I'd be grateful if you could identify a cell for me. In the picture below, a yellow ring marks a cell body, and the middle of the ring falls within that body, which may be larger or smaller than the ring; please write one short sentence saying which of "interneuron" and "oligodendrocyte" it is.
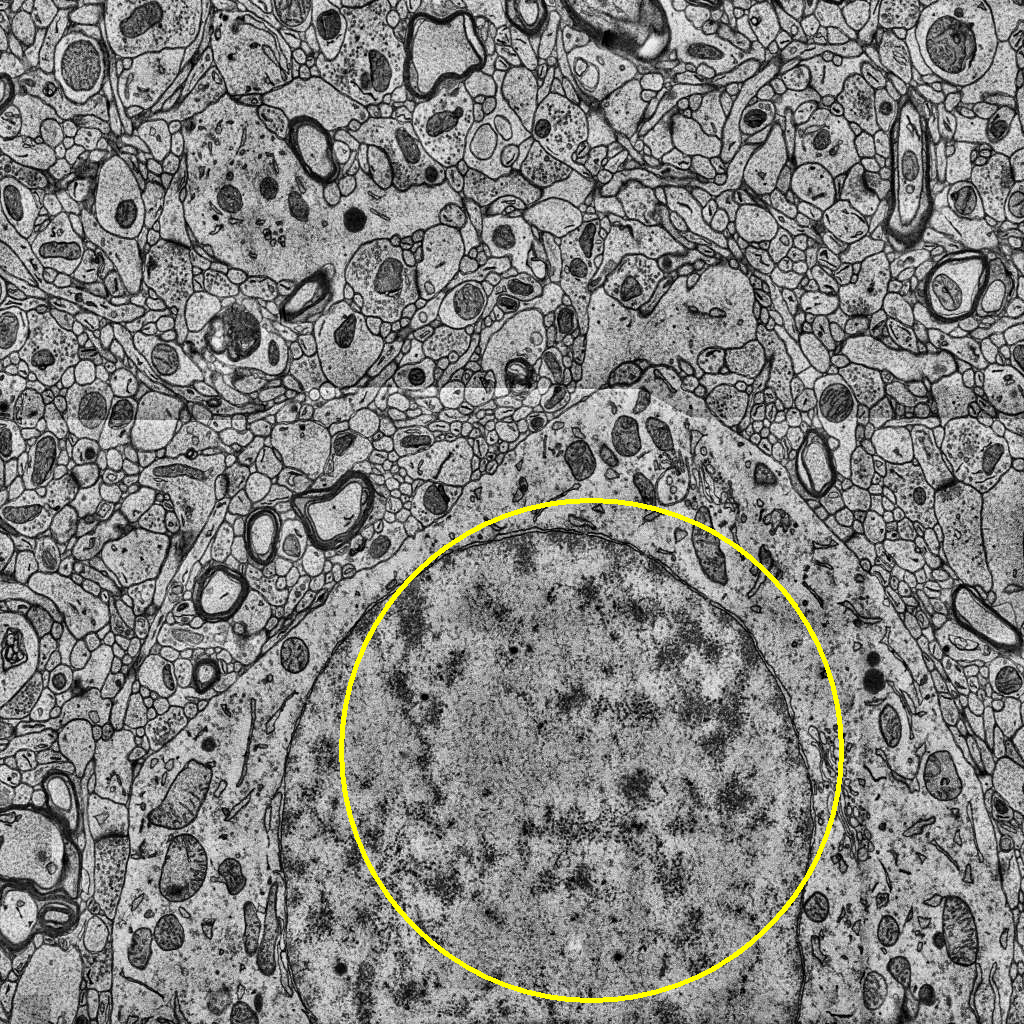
The cell under the ring's centre is an interneuron.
